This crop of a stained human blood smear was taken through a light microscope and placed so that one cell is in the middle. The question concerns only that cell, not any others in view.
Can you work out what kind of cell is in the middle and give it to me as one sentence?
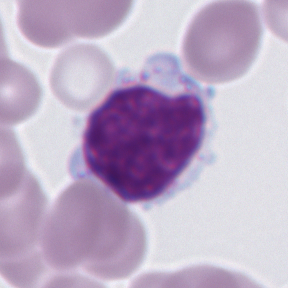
The crop's centre is taken up by a large granular lymphocyte.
